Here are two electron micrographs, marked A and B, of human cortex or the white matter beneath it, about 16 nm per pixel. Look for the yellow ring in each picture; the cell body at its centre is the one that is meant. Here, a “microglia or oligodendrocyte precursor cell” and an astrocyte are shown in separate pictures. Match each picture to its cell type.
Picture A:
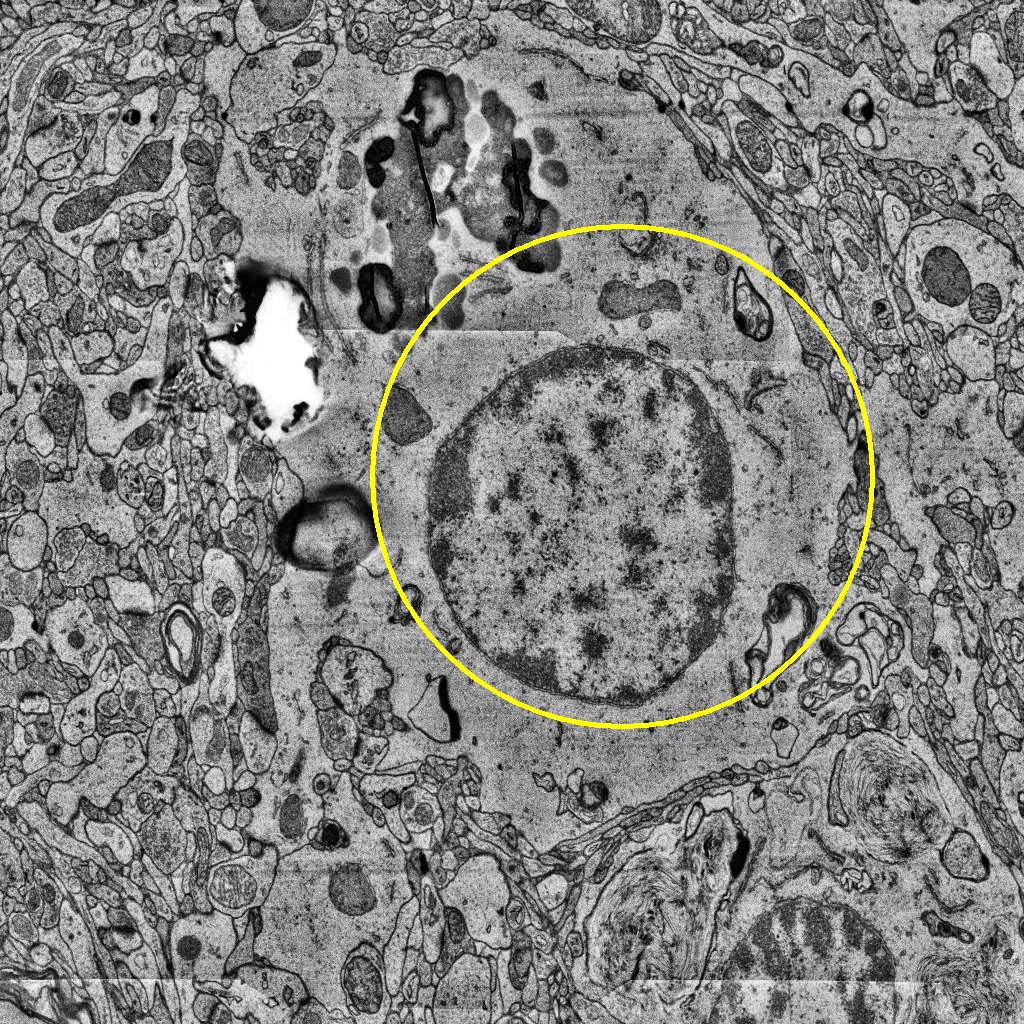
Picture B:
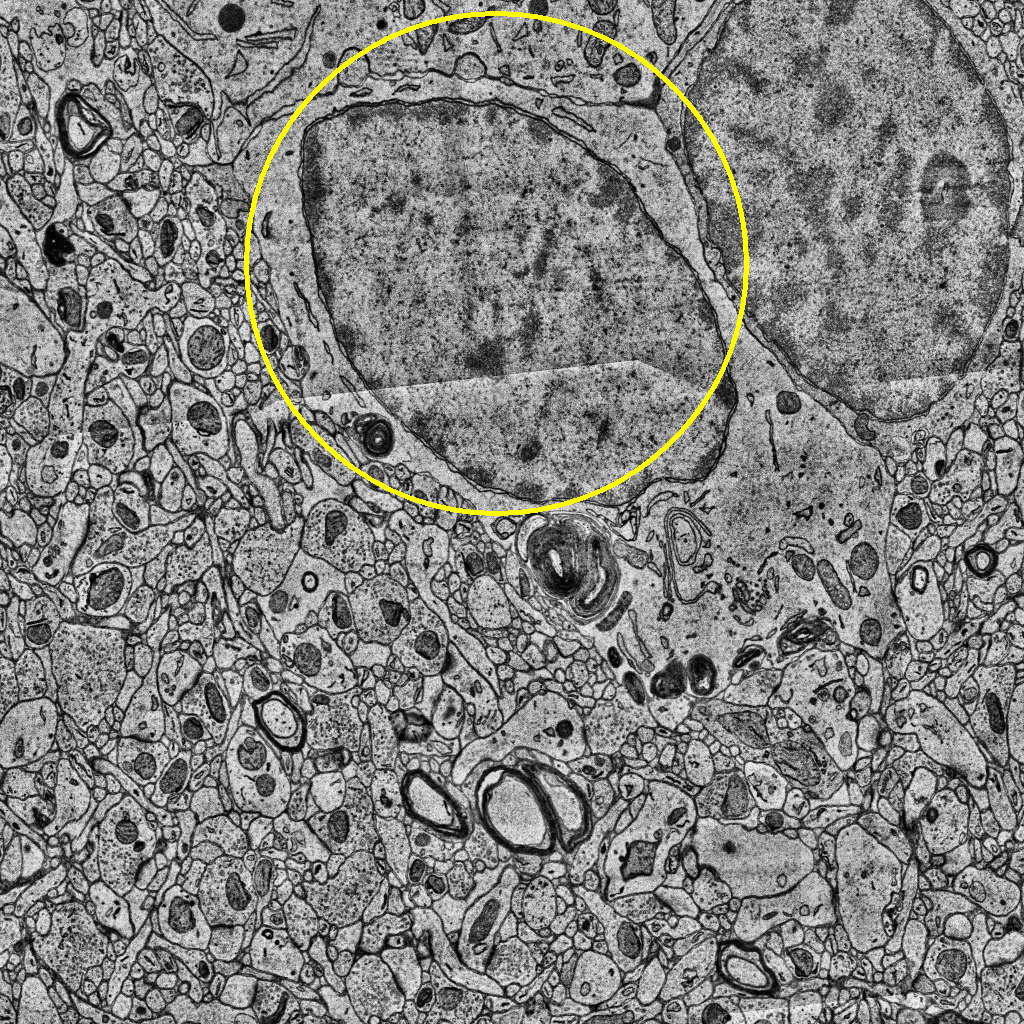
Picture A is of an astrocyte, and picture B is of a “microglia or oligodendrocyte precursor cell”.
